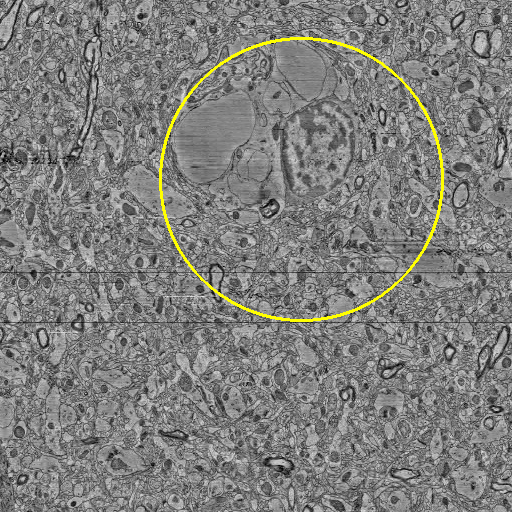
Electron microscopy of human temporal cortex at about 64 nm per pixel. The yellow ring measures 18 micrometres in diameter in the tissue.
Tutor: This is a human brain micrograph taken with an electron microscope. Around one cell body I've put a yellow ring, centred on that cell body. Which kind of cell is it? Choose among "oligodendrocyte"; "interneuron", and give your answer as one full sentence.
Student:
Going by your list, the cell centred in the yellow ring is an oligodendrocyte.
